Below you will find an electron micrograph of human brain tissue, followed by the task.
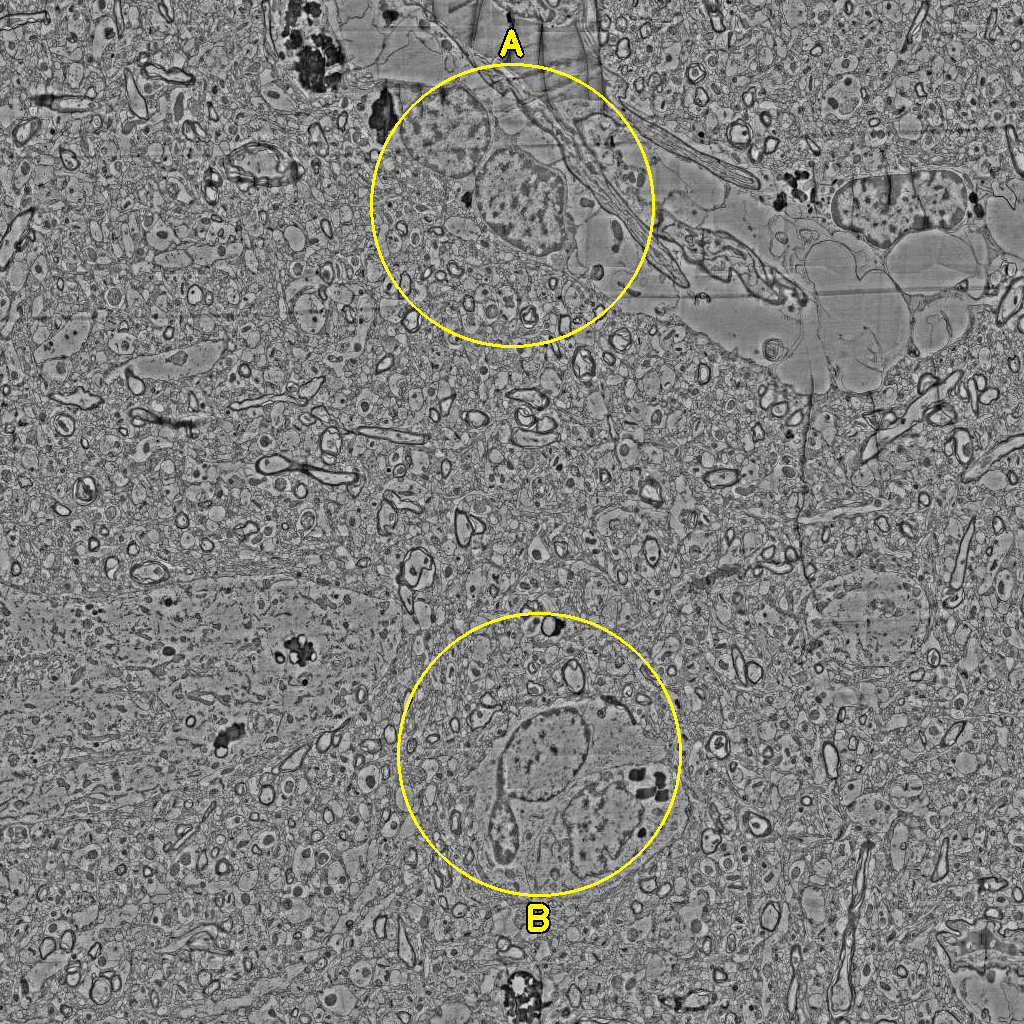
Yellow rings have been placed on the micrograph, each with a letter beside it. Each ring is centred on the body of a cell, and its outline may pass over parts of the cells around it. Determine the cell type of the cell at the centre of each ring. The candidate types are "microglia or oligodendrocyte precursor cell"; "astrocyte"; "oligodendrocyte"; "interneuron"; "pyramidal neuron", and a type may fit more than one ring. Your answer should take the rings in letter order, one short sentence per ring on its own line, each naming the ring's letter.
The centre of ring A falls on an oligodendrocyte.
The centre of ring B falls on a microglial cell or oligodendrocyte precursor cell.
